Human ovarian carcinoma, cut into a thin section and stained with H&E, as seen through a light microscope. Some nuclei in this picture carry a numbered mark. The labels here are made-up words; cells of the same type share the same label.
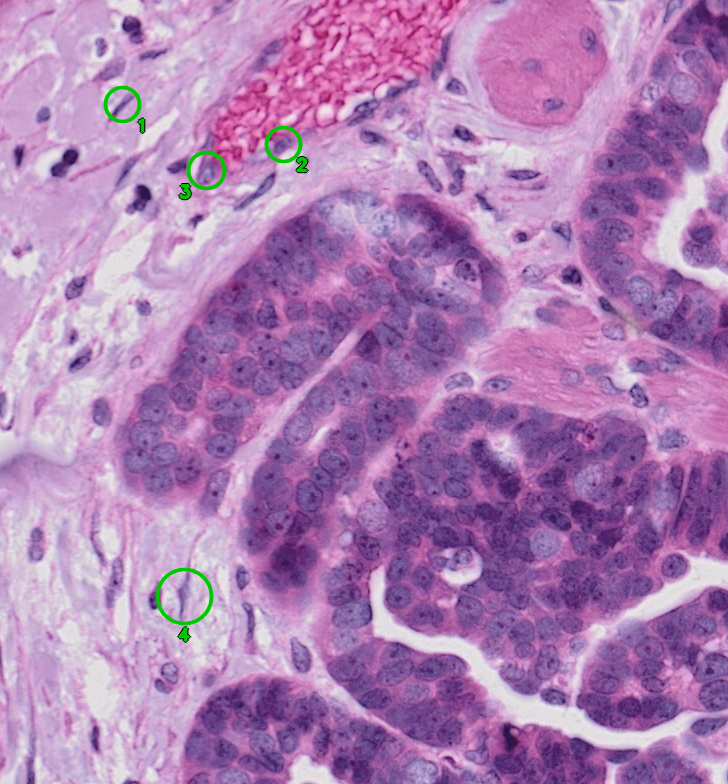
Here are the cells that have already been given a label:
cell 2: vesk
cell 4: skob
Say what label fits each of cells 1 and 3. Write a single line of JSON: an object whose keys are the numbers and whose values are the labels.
{"1": "skob", "3": "vesk"}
